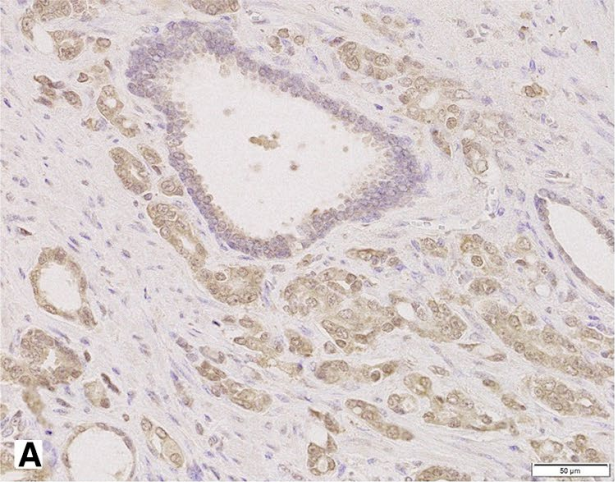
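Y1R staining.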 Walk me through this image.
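Prostate tissue with a large gland lined by pale, blue-stained columnar epithelium around an open lumen, set in fibromuscular stroma. The stroma holds scattered spindle-shaped cells with slender nuclei. Around this gland lie many small, crowded glands and solid nests of epithelial cells infiltrating the stroma. These cells have light brown cytoplasm and enlarged round nuclei, several with visible nucleoli. The large gland shows only faint staining compared with the surrounding small glands.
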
